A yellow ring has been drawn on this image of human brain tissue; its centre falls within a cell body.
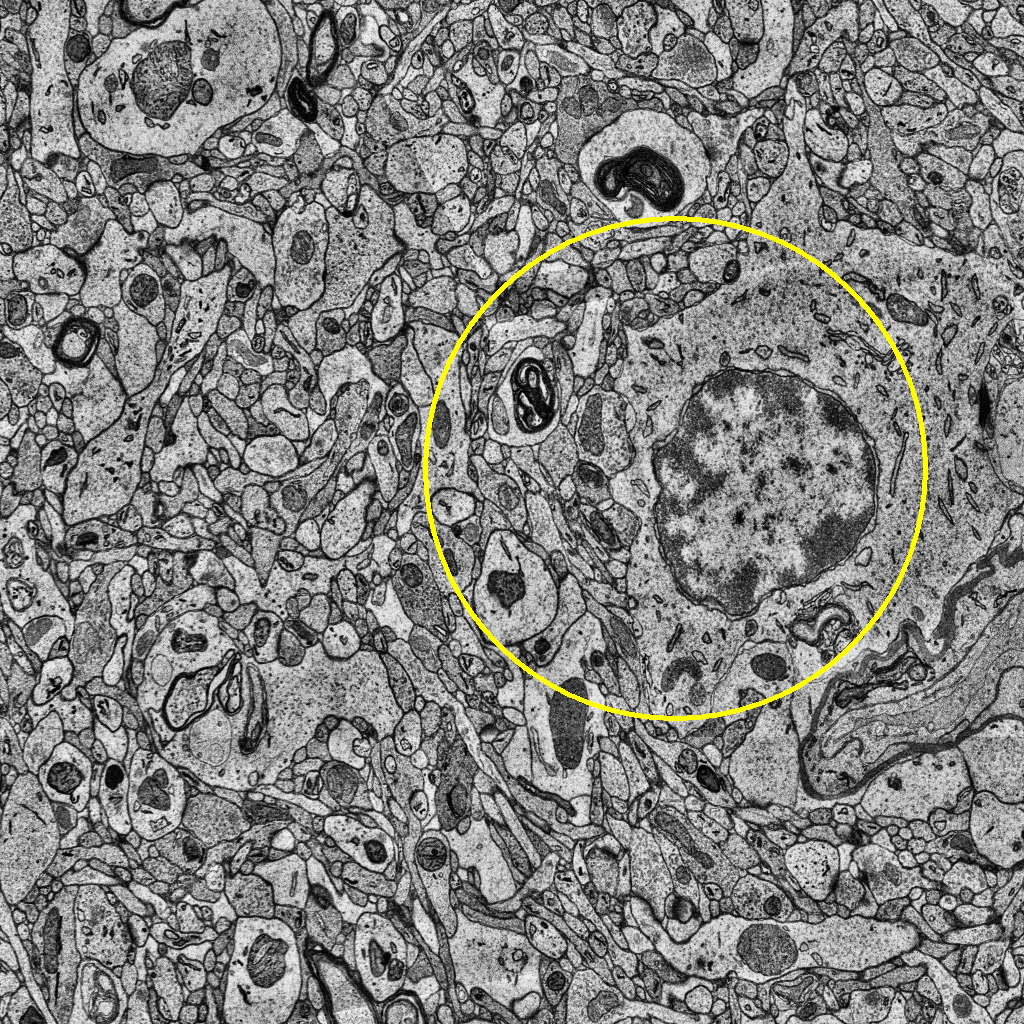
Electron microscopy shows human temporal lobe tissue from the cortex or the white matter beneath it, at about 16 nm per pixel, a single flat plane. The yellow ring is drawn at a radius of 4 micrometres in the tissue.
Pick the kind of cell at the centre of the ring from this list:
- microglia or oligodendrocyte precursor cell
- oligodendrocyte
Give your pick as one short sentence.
The centre of the ring holds a microglial cell or oligodendrocyte precursor cell.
